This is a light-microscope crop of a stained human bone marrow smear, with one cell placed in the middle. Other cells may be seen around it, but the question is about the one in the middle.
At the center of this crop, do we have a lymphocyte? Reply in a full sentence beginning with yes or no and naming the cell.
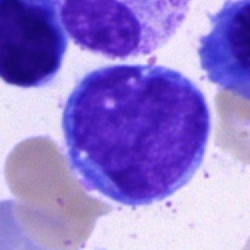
No, the cell in the middle is correctly named a blast, not a lymphocyte.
